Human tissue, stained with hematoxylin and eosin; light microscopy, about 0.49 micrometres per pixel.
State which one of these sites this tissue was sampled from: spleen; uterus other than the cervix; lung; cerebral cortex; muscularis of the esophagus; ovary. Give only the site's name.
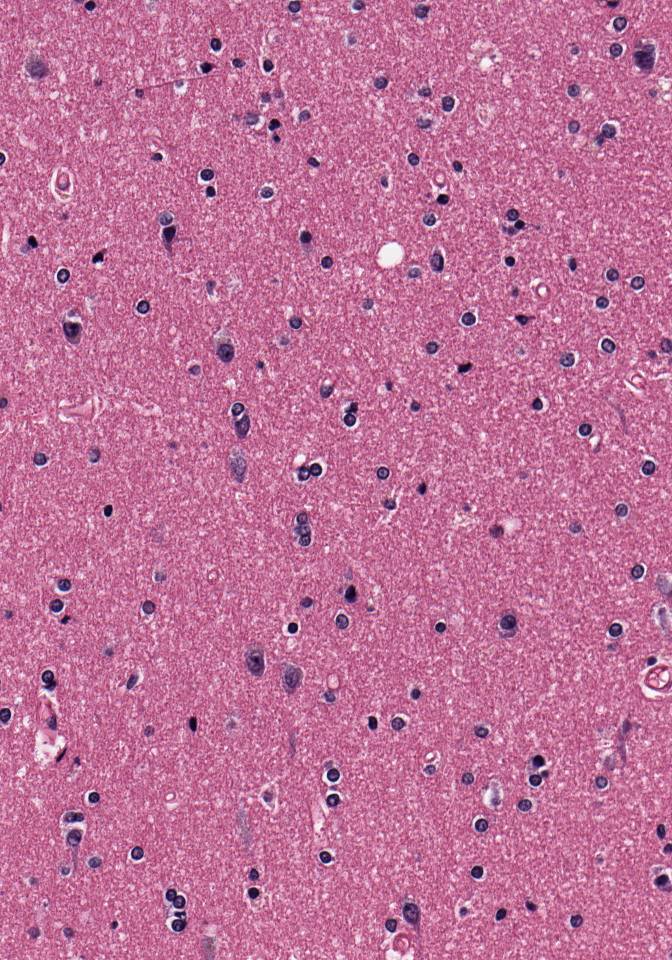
cerebral cortex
